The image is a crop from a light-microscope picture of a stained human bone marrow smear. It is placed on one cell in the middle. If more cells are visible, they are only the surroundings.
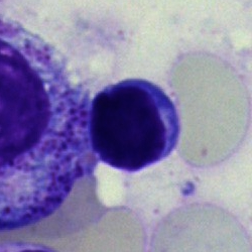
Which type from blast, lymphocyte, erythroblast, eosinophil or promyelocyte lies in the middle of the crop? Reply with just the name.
lymphocyte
